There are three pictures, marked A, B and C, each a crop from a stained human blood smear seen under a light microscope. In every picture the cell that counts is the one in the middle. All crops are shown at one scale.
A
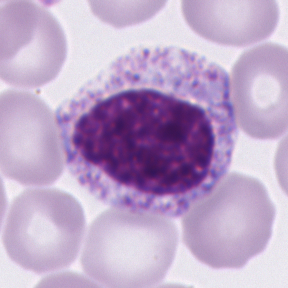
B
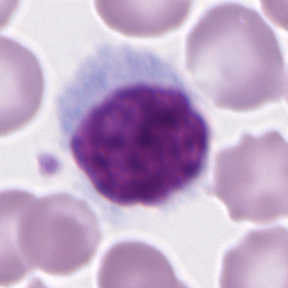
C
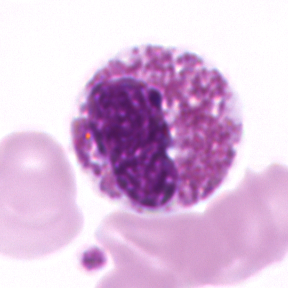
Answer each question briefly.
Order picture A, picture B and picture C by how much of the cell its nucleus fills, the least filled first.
C, A, B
